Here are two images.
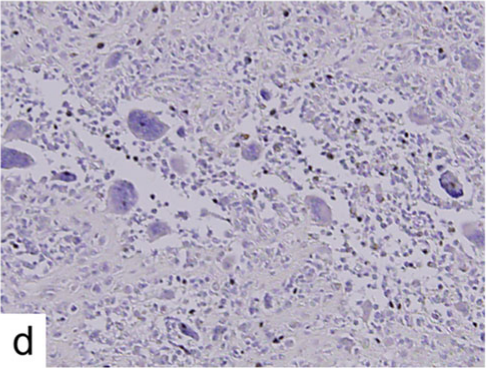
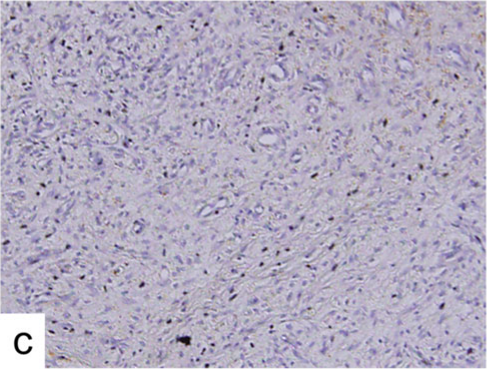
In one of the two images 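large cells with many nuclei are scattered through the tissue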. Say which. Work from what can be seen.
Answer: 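First image: several very large cells with clustered nuclei lie among small round cells. Second image: only small spindle-shaped and oval cells are present, with no large cells. That points to this answer: the first image.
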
